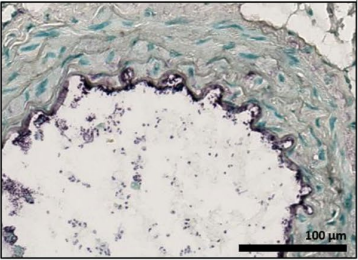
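Aortic wall seen in cross-section, made of several concentric wavy lamellae with elongated green nuclei lying between them. A thin, dark purple line runs along the scalloped luminal surface, and scattered purple granular material lies in the otherwise empty lumen.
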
